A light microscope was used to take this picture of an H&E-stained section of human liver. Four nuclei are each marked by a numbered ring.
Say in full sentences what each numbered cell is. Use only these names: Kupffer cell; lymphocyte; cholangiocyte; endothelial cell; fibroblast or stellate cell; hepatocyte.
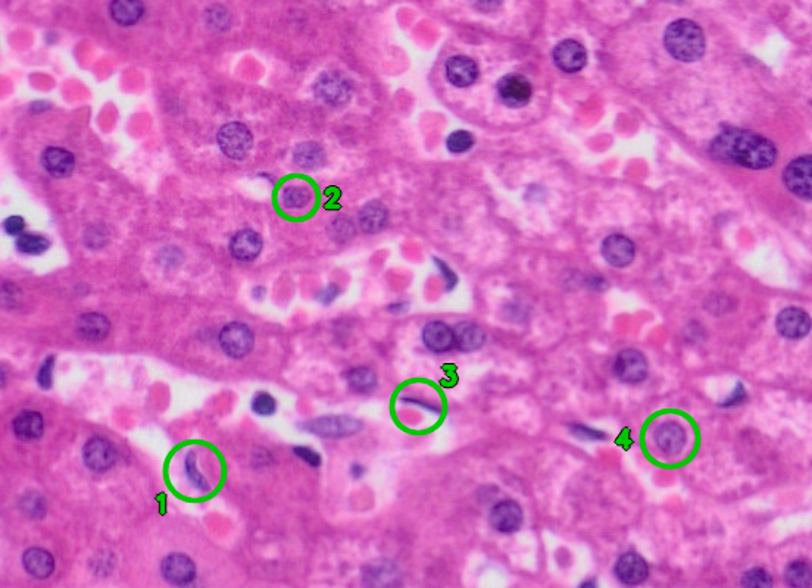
Cell 1 is an endothelial cell, cell 2 is a fibroblast or stellate cell, cell 3 is an endothelial cell and cell 4 is a hepatocyte.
